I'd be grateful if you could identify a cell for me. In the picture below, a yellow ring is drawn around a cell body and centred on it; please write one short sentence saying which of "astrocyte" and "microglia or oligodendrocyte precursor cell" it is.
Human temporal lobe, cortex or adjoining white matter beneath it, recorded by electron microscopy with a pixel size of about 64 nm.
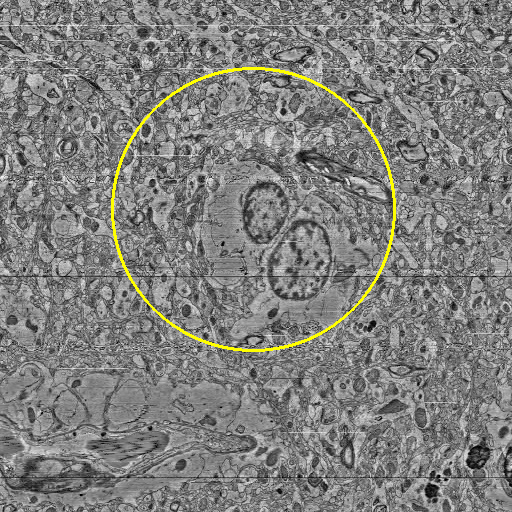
The cell under the ring's centre is an astrocyte.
